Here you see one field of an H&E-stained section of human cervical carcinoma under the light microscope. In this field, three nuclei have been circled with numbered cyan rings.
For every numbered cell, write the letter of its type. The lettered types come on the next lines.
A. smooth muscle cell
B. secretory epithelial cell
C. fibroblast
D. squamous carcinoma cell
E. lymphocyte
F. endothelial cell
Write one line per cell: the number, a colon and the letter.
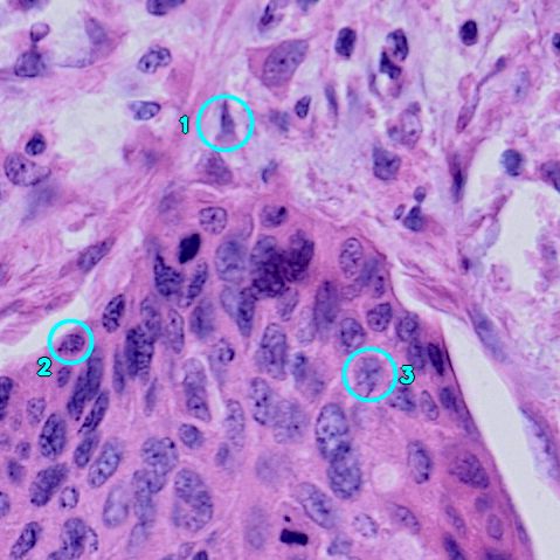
1: C
2: D
3: D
